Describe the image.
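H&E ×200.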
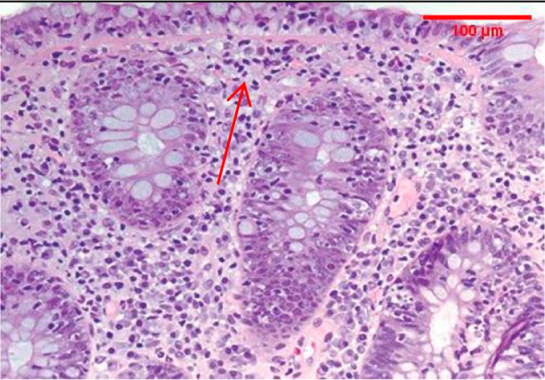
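This mucosa has crypts lined by columnar epithelium. Many goblet cells sit in the crypt lining, with clear, pale mucin vacuoles. The lamina propria between and around the crypts is densely packed with small round inflammatory cells. These include many plasma cells, with round, dark nuclei and purple cytoplasm. The crowded infiltrate fills the space between neighbouring crypts. A covering surface epithelium runs along the top of the tissue.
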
